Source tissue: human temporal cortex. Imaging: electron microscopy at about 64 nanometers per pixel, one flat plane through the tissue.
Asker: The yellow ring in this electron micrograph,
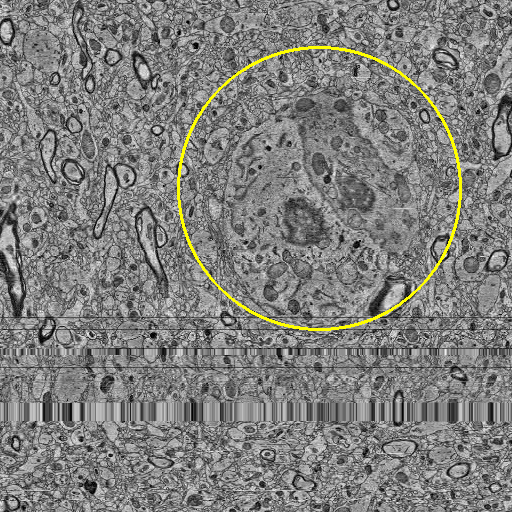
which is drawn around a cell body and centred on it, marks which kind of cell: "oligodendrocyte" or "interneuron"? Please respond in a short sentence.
The marked cell is an oligodendrocyte.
